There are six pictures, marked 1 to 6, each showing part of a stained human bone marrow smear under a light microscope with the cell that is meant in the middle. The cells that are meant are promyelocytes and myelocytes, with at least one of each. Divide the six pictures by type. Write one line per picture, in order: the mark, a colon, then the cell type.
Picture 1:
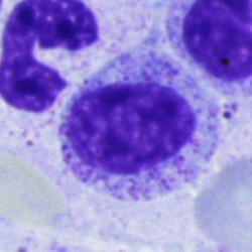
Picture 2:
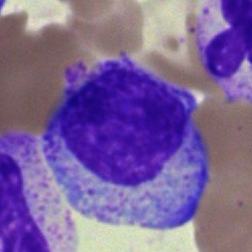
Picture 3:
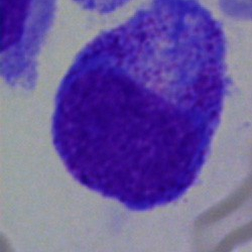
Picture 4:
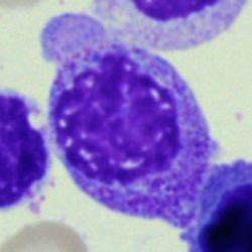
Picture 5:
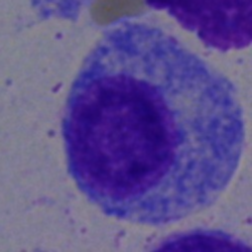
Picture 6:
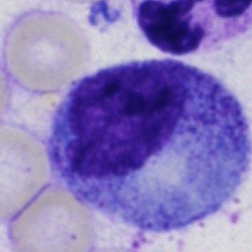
1: myelocyte
2: myelocyte
3: promyelocyte
4: myelocyte
5: myelocyte
6: promyelocyte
